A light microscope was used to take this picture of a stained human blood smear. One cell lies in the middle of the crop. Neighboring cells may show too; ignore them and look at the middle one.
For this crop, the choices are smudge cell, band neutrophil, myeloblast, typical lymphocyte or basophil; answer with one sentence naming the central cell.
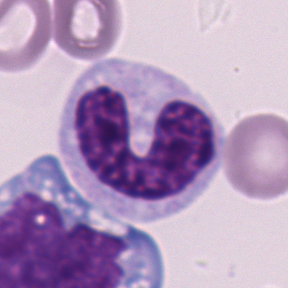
Centrally within this crop lies a band neutrophil.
